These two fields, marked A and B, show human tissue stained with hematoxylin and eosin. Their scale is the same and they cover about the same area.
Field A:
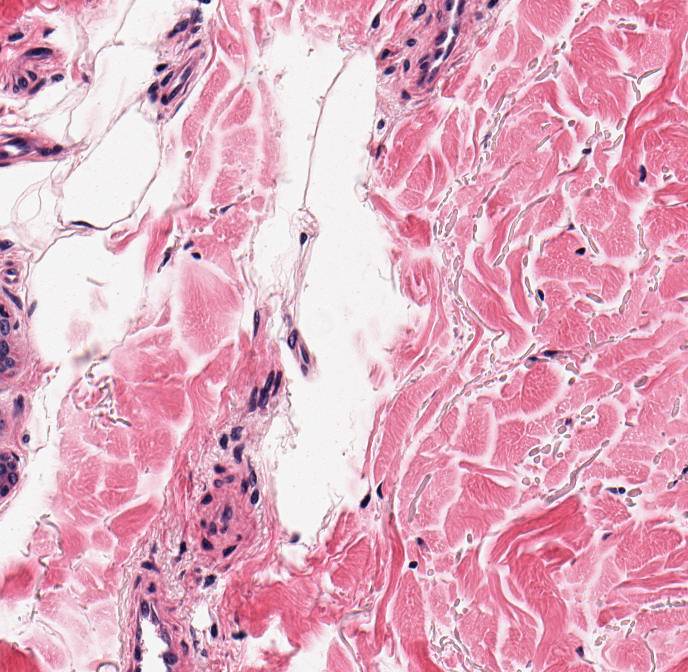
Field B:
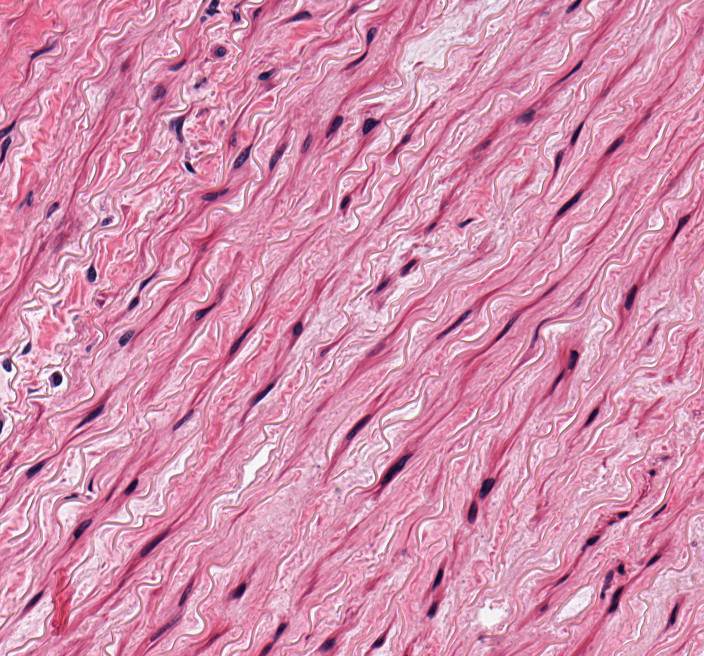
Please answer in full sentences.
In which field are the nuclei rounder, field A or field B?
It is field A whose nuclei are the rounder.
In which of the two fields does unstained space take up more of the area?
Field A has more white space.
